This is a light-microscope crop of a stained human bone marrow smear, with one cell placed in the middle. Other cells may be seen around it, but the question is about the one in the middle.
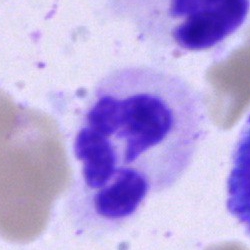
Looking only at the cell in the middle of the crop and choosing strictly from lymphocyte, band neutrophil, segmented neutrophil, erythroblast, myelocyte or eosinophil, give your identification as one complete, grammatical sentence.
The cell in the middle of the field of view is a segmented neutrophil.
